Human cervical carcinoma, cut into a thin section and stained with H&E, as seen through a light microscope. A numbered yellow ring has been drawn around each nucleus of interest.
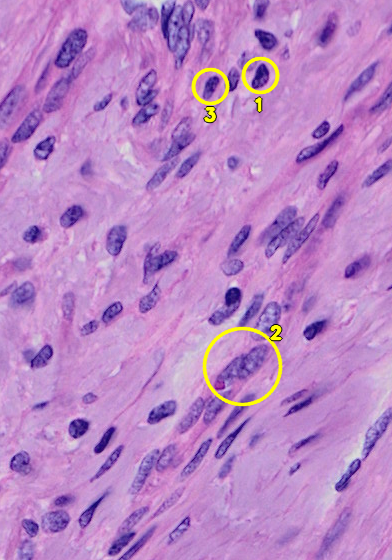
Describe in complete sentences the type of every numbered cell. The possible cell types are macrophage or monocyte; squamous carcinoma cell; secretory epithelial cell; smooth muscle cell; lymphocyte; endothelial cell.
Cells 1 and 3 are lymphocytes. Cell 2 is an endothelial cell.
